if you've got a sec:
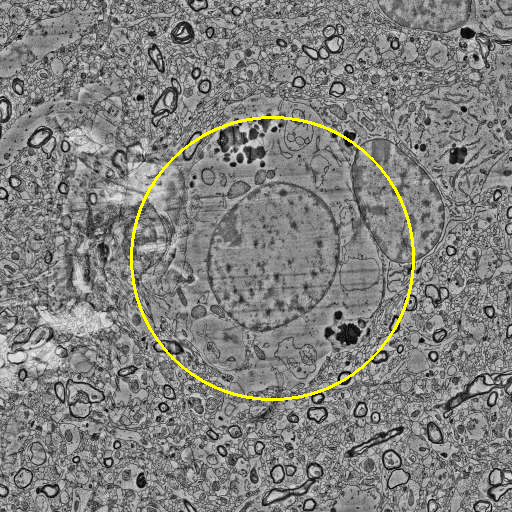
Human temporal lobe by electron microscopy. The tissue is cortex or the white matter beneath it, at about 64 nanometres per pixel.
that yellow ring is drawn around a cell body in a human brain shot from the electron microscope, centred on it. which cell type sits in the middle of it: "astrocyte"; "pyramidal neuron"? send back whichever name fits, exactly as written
astrocyte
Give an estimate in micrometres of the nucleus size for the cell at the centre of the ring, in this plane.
The nucleus measures about 10 by 8 micrometres in this plane.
